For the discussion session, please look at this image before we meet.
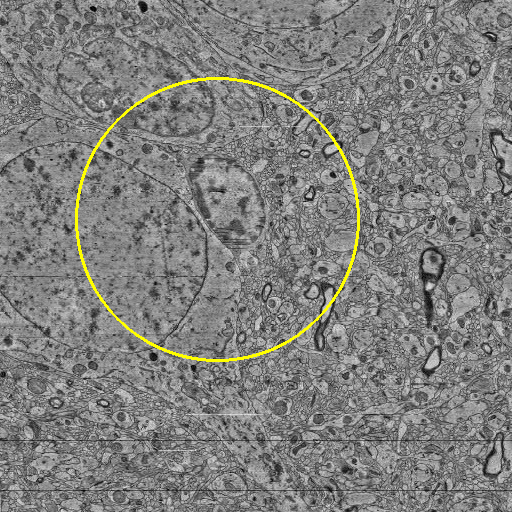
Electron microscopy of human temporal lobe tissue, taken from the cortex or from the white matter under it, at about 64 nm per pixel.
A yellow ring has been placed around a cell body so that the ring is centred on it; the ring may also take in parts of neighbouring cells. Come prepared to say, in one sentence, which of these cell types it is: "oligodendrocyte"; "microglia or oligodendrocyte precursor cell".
The cell centred in the ring is an oligodendrocyte.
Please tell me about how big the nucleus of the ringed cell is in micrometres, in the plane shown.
Roughly 6 by 4 micrometers, clearly longer than it is wide in this plane.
